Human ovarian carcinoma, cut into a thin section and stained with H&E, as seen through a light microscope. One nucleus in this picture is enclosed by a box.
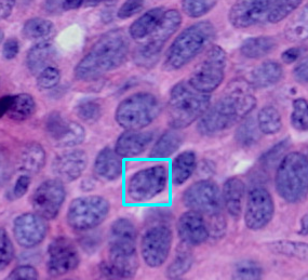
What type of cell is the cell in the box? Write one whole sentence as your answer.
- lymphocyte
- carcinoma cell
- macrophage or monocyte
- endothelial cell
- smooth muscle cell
In this preparation, the cell in the box is a carcinoma cell.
